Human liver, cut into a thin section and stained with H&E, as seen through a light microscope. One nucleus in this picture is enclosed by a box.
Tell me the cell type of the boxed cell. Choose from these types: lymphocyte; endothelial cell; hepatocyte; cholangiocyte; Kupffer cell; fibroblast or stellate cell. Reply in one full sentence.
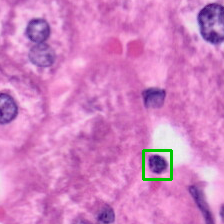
The boxed cell is a lymphocyte.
